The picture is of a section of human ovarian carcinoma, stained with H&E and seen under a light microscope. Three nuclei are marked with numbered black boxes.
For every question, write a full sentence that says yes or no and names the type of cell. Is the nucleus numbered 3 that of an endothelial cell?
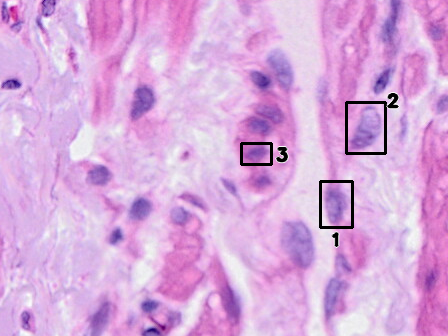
No, it is a smooth muscle cell, not an endothelial cell, at number 3.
